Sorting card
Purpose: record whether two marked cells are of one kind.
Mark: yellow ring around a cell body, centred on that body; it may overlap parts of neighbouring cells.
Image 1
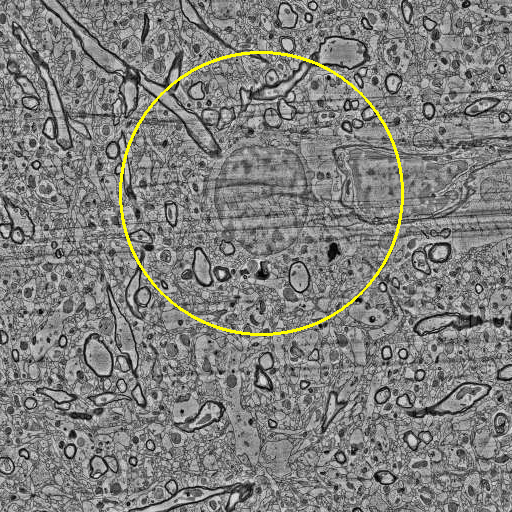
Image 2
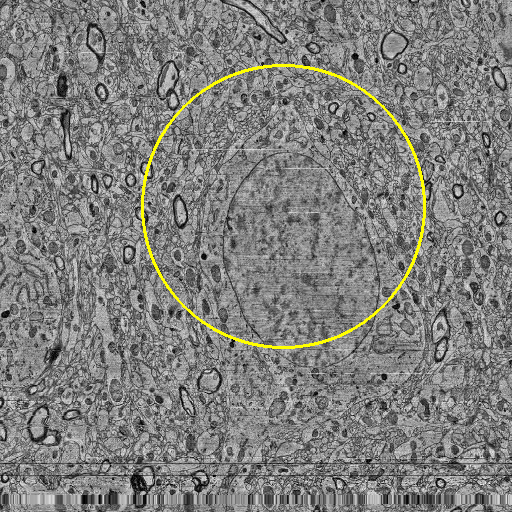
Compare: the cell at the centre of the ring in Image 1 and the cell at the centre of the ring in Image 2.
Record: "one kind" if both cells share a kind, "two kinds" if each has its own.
two kinds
